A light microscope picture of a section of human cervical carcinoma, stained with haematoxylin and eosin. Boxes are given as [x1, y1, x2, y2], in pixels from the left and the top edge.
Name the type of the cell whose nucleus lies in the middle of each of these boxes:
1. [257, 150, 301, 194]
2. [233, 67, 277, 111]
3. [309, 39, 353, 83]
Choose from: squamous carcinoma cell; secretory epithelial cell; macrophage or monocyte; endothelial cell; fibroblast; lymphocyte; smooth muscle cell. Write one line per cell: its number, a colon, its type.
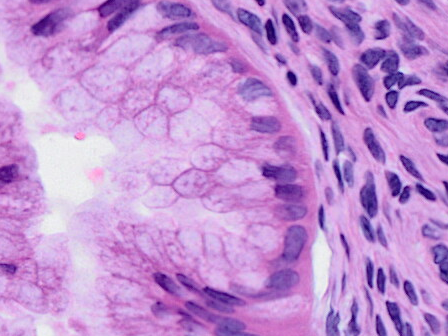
1: secretory epithelial cell
2: secretory epithelial cell
3: fibroblast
